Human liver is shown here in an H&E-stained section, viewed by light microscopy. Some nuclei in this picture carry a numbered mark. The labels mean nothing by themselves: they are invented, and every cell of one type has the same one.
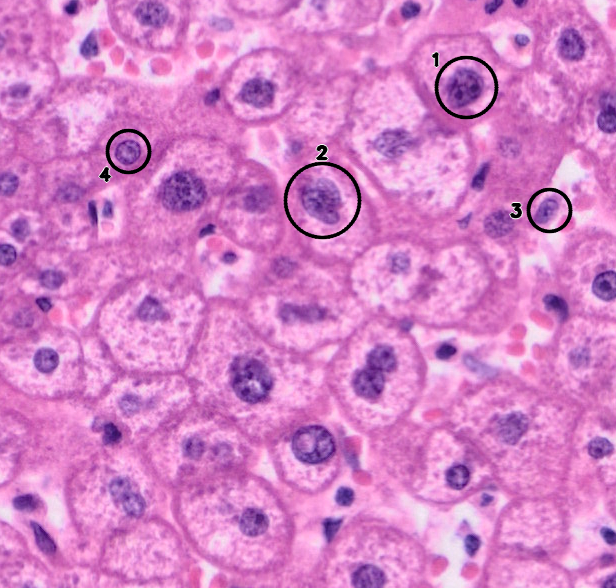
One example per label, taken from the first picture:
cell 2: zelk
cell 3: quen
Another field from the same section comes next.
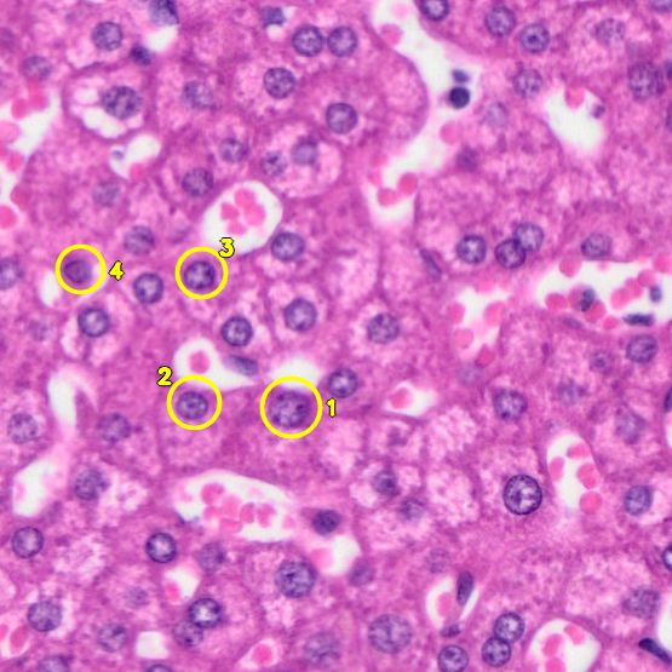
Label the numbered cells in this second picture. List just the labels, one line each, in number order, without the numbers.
zelk
zelk
zelk
quen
